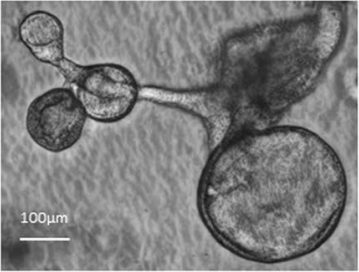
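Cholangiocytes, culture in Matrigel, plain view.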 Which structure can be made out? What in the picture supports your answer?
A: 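A narrow tube runs between round hollow spheres. The tube joins the spheres to each other.
Answer: ducts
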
